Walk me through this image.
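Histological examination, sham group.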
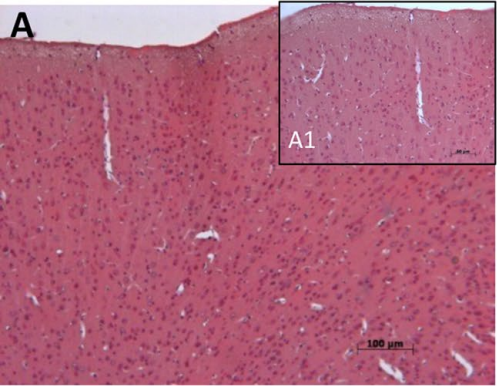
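This is brain tissue with an intact, smooth surface at the top and an evenly pink, compact neuropil below it. Small dark purple nuclei are scattered fairly uniformly through the tissue. Only a few narrow vessel profiles and clefts interrupt it, and there are no clear vacuolated areas or torn regions.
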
